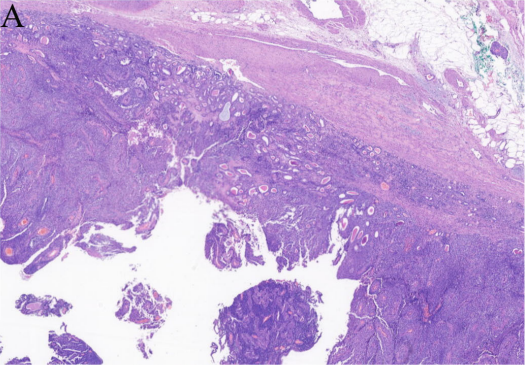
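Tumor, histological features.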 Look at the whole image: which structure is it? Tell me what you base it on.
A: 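Fibrous envelope. A band of pale pink, paucicellular fibrous tissue runs along the edge of the dark purple cellular tumor. Fat lies outside this band at the upper right.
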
